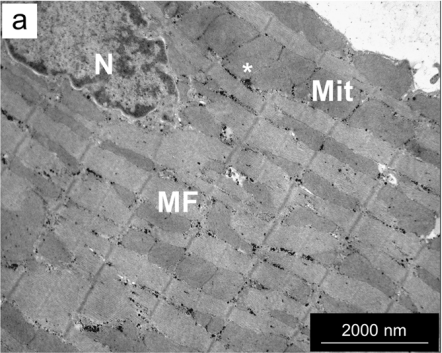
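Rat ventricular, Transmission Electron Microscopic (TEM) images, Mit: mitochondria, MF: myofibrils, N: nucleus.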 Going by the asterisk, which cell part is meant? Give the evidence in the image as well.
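Tiny dark dots are scattered near the asterisk. Similar dark dots line the rows between the banded myofibrils. On this evidence: glycogen granules.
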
